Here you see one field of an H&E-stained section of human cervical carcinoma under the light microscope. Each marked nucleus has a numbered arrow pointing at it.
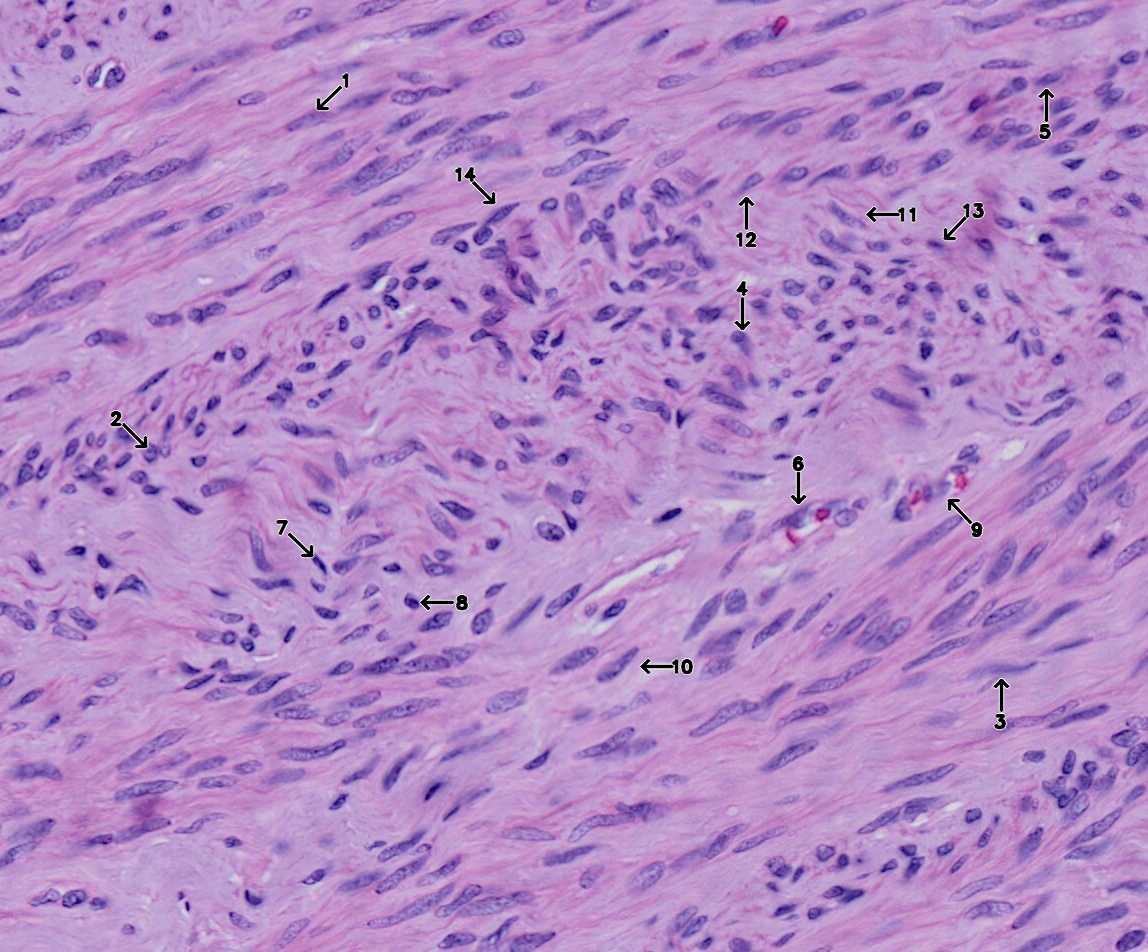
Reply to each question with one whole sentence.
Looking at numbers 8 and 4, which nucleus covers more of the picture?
Of the two, number 4 is bigger and takes up about 2 times the area of number 8.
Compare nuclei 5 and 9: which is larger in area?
It is nucleus 9, which covers about 2 times the area of nucleus 5.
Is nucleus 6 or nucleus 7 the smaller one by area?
With nucleus 6 about 2.5 times its size, nucleus 7 is the smaller of the two.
